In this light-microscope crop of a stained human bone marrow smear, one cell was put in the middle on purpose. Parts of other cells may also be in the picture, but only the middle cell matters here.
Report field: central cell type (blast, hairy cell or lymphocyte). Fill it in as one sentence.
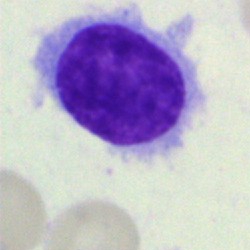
Occupying the centre of the crop is a hairy cell.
